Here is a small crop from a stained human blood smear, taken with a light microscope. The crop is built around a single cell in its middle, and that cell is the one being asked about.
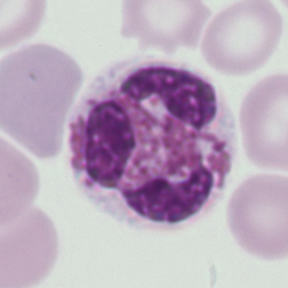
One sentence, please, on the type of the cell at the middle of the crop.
Looking at the middle of the crop, the cell there is an eosinophil.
